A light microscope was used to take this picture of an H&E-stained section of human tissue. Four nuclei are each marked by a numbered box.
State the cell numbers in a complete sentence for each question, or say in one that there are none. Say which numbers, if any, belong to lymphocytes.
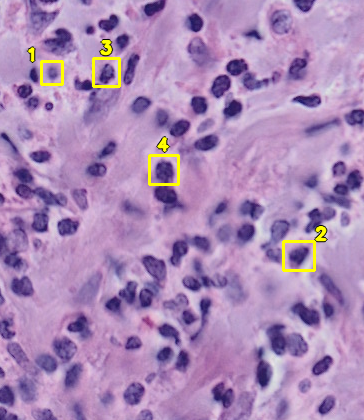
The cells picked out by numbers 2, 3 and 4 are lymphocytes.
